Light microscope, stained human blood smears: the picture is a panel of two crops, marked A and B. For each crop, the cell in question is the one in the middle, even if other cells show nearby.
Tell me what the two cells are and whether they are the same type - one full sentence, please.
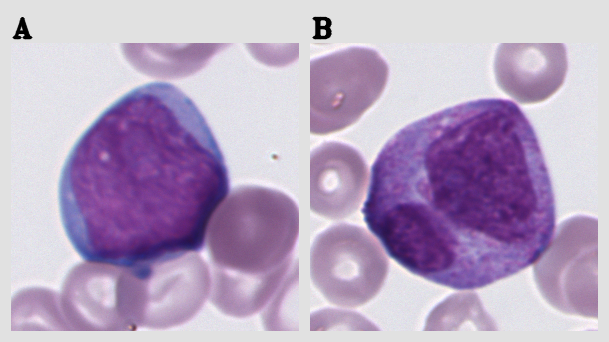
No, within crop A lies a myeloblast, and within crop B lies an atypical promyelocyte.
